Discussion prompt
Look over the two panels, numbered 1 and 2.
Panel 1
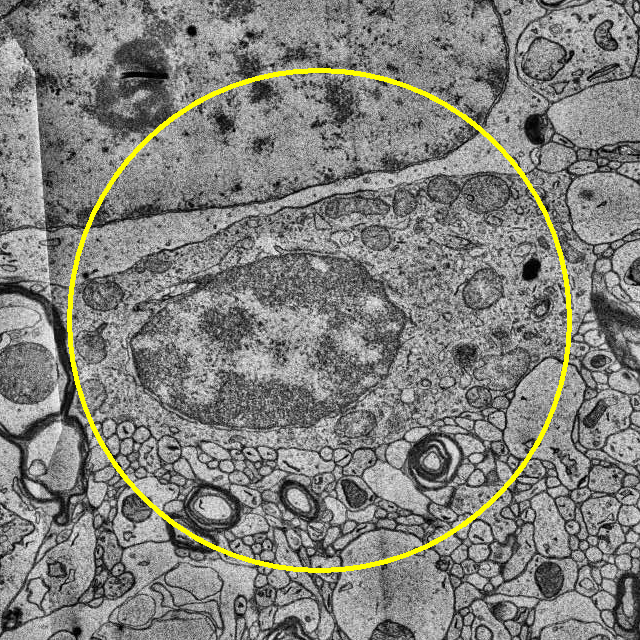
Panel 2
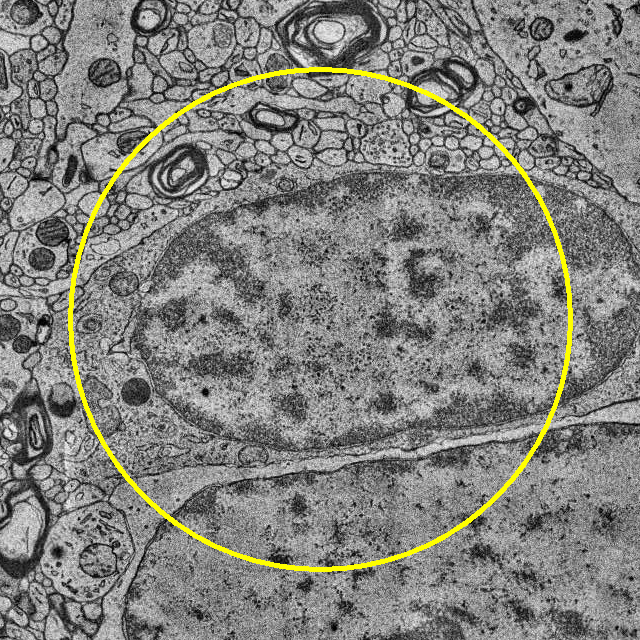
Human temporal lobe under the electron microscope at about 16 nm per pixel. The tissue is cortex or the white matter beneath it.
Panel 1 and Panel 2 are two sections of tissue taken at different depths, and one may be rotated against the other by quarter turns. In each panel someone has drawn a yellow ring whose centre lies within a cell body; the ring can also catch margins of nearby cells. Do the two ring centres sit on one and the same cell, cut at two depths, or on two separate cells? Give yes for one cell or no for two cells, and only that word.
yes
